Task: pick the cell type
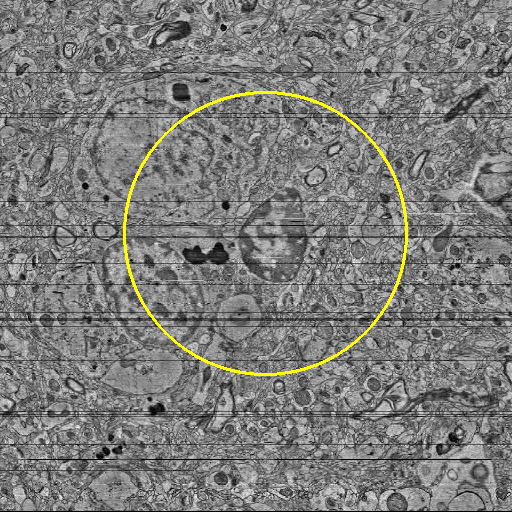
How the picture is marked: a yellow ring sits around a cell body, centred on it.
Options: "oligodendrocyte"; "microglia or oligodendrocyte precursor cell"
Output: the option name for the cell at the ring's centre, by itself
microglia or oligodendrocyte precursor cell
